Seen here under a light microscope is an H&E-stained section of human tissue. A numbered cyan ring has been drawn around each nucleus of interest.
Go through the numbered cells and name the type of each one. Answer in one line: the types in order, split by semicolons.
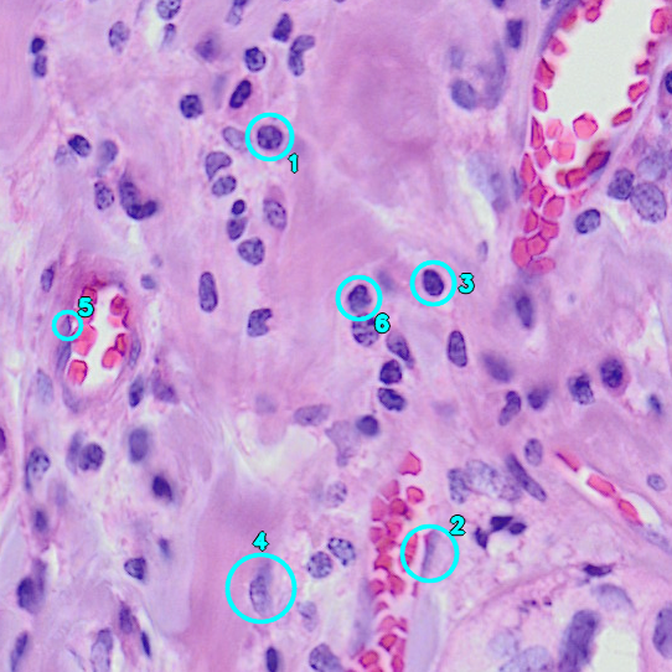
lymphocyte; endothelial cell; lymphocyte; fibroblast; endothelial cell; lymphocyte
